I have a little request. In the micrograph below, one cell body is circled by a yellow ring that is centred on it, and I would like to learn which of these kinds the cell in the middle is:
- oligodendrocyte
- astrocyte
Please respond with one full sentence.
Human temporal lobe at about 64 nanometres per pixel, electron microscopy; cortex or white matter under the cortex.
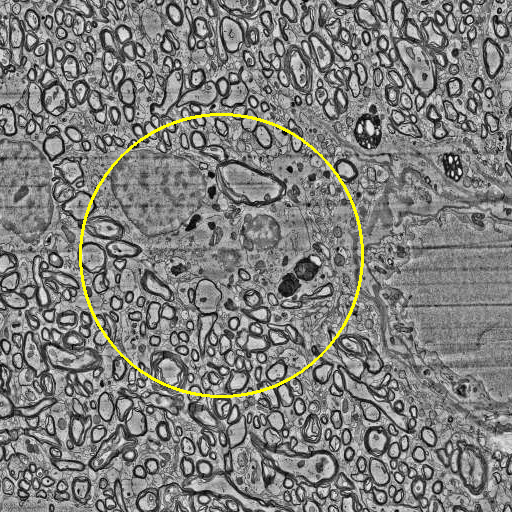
The cell sitting in the middle of the yellow ring in the micrograph is an oligodendrocyte.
